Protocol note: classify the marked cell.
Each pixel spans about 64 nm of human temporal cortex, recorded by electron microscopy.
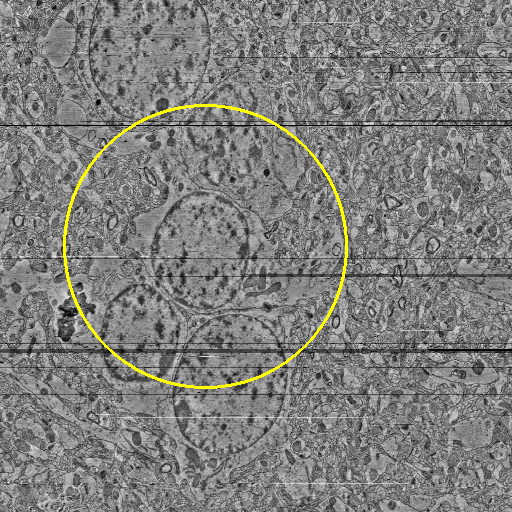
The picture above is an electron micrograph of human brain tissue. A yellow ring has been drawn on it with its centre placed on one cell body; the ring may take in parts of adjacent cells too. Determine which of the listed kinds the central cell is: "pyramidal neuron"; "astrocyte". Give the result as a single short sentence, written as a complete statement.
The central cell is an astrocyte.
